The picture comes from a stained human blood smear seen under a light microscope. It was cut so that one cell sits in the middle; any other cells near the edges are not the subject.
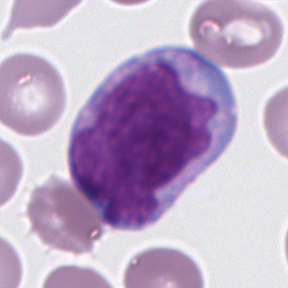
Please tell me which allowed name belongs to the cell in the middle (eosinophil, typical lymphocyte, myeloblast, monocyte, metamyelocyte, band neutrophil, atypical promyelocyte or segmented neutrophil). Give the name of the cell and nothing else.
atypical promyelocyte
